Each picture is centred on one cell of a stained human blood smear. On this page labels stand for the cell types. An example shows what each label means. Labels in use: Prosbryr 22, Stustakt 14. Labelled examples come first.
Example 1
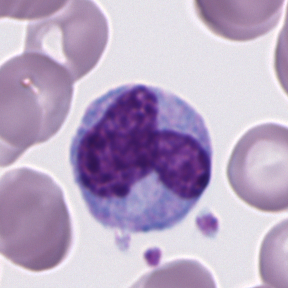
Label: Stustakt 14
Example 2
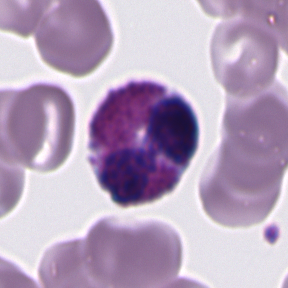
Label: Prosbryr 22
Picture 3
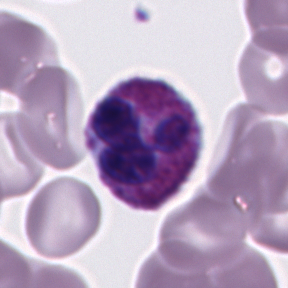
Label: Prosbryr 22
